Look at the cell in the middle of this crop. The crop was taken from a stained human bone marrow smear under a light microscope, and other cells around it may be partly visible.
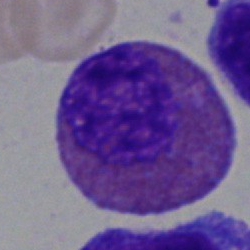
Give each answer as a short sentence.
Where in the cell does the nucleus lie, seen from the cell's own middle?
Seen from the middle of the cell, the nucleus lies toward the upper left.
